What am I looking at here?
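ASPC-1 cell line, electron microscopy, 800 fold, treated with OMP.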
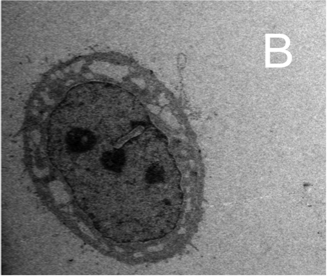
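A single oval cancer cell is seen in section, with a large oval nucleus taking up most of the cell and a narrow rim of dark cytoplasm around it. The cytoplasm is broken up by many pale, empty-looking vacuoles lying close to the nuclear envelope. The nucleus holds several dark, rounded nucleoli.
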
